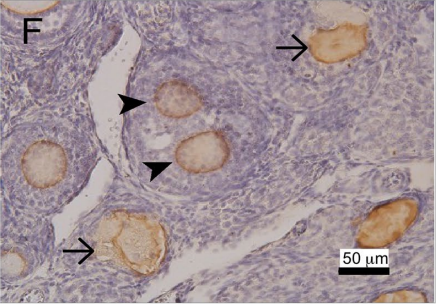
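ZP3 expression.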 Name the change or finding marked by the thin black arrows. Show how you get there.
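Degenerated follicles. The arrows point to brown-stained oocyte outlines that are irregular and crumpled. These lack the smooth round outline of the oocytes nearby.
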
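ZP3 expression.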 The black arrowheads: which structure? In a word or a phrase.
Multi-oocyte follicle.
